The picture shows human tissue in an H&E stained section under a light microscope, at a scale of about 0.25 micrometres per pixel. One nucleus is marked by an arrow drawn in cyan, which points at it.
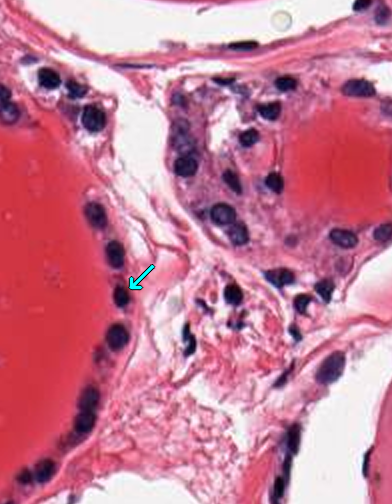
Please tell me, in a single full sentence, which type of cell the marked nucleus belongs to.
A nucleus belonging to a thyroid follicular cell is the one marked.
